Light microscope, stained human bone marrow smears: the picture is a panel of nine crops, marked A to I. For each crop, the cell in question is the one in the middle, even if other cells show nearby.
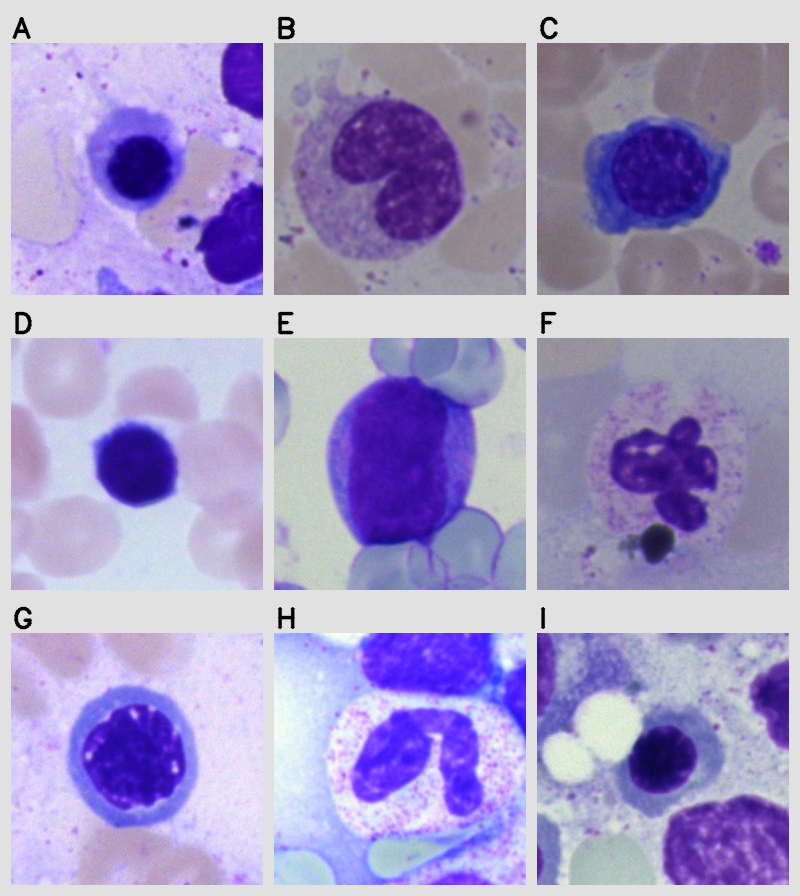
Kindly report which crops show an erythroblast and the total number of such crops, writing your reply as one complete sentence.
The four crops A, C, G and I are those that show erythroblasts.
